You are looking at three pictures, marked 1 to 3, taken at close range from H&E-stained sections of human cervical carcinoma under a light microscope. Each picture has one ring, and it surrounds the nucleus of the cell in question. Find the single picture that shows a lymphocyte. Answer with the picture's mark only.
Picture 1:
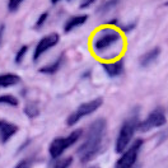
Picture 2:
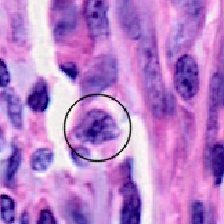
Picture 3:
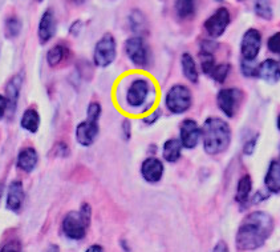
3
